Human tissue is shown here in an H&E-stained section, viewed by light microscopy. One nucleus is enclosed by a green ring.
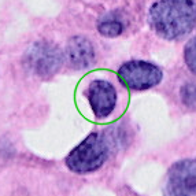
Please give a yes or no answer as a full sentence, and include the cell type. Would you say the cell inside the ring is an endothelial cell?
No, it is as a carcinoma cell, not an endothelial cell, that the cell inside the ring is classified.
